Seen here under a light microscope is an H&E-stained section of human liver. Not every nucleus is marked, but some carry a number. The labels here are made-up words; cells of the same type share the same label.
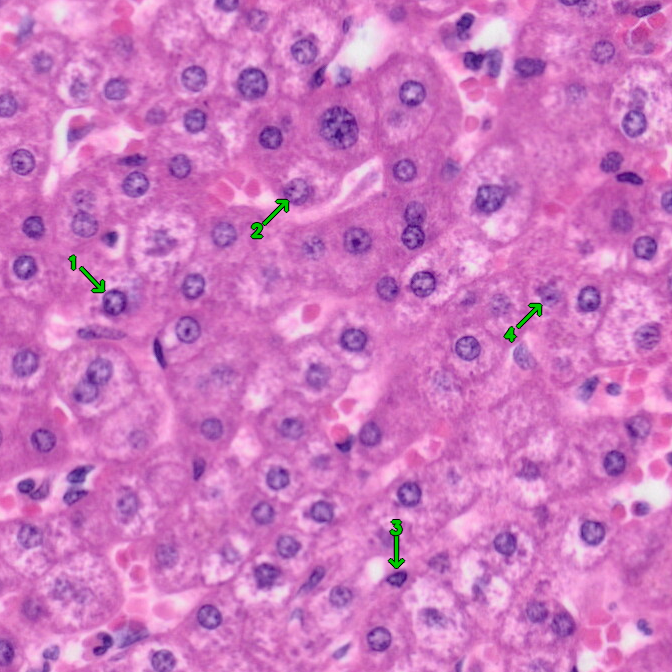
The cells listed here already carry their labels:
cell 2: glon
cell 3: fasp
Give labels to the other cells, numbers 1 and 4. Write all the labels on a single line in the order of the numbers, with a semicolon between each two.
glon; glon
